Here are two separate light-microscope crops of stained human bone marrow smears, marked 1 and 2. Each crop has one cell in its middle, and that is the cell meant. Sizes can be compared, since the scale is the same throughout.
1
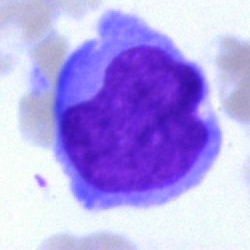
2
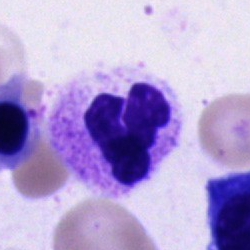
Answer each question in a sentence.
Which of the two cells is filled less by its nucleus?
It is the cell in picture 2 that is filled less by its nucleus.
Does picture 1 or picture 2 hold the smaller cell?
It is the cell in picture 2; the cell in picture 1 has about 2 times its area.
